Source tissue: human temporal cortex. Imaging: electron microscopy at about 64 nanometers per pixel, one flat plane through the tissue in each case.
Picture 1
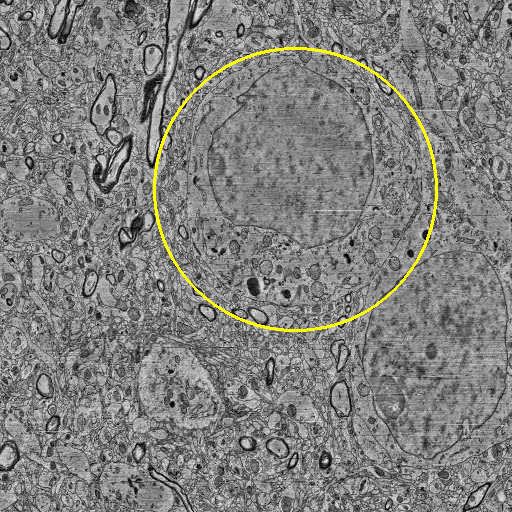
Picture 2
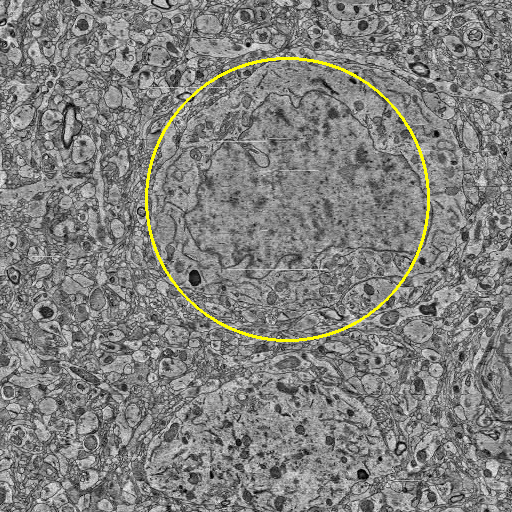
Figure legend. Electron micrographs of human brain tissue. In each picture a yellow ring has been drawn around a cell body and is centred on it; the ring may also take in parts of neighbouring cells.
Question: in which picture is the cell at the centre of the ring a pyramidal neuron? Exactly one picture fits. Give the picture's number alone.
1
